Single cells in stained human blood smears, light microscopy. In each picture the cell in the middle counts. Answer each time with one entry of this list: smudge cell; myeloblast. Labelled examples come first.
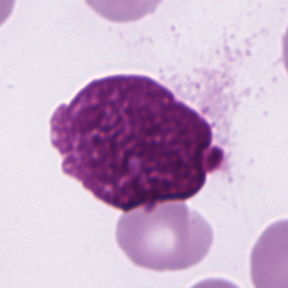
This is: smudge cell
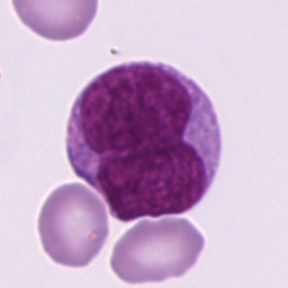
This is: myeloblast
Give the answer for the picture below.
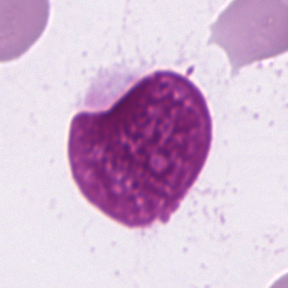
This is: smudge cell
